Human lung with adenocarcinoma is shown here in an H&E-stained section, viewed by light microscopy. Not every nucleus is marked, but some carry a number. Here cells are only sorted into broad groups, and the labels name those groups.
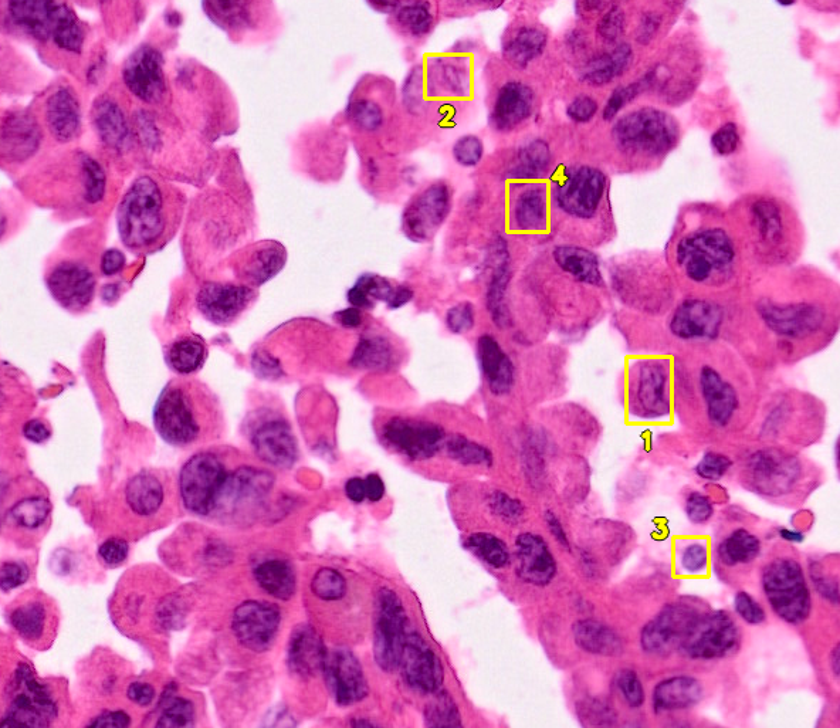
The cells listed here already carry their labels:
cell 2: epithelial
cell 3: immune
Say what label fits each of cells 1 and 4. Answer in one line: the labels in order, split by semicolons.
epithelial; epithelial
